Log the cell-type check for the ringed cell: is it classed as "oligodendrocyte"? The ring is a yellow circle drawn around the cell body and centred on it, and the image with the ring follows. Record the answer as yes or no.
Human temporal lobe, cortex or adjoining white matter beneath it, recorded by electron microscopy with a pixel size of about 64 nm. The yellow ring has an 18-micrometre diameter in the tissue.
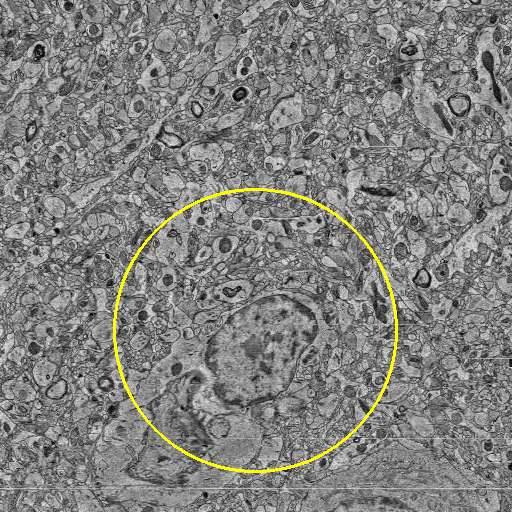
No, it is classed as another type.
